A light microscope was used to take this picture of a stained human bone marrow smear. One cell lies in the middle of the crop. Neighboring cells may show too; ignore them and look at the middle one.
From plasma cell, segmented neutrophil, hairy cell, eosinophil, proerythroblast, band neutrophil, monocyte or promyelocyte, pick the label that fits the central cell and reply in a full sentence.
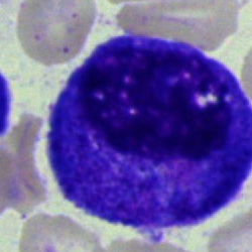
As for the central cell, it is a promyelocyte.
